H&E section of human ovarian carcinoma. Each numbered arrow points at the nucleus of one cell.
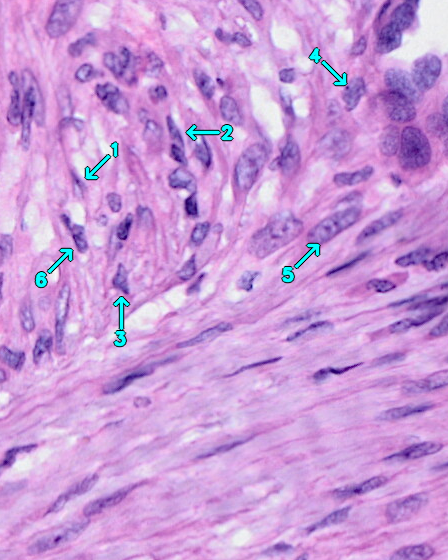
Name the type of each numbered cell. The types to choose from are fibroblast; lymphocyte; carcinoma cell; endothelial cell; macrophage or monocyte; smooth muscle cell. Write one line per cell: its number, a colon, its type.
1: fibroblast
2: fibroblast
3: fibroblast
4: macrophage or monocyte
5: fibroblast
6: macrophage or monocyte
